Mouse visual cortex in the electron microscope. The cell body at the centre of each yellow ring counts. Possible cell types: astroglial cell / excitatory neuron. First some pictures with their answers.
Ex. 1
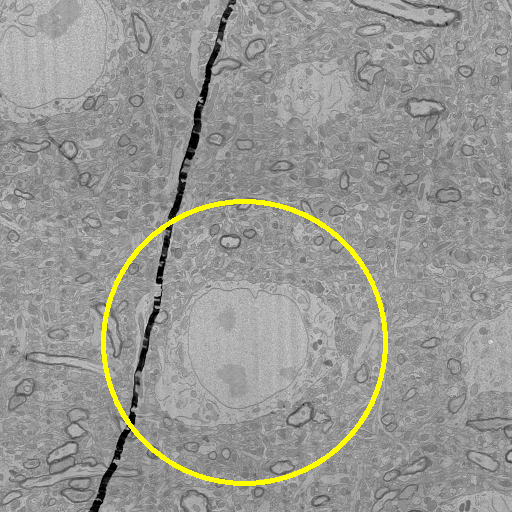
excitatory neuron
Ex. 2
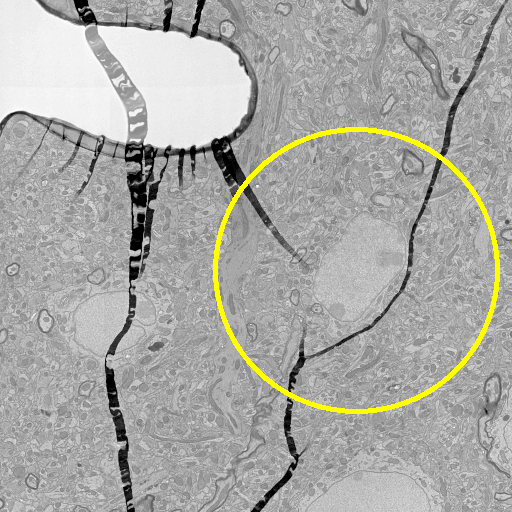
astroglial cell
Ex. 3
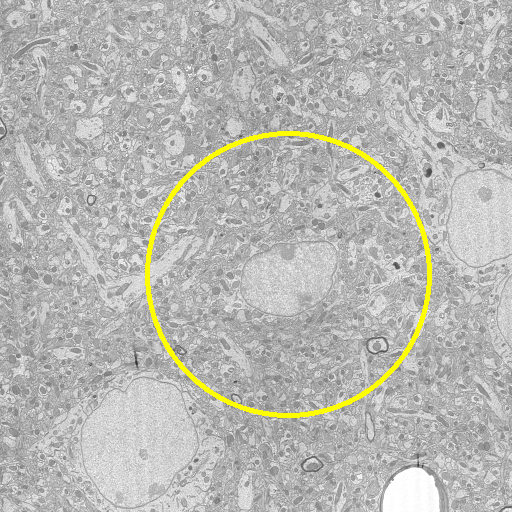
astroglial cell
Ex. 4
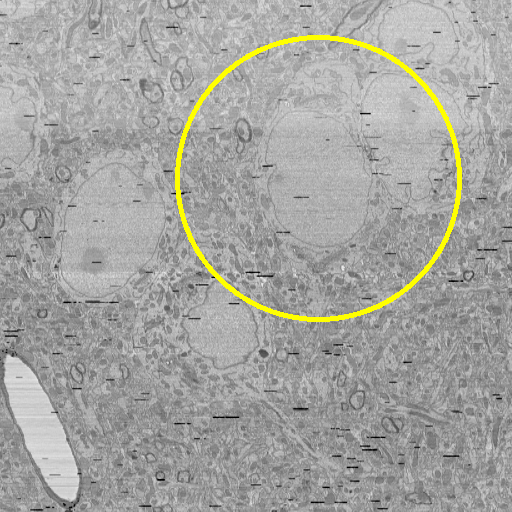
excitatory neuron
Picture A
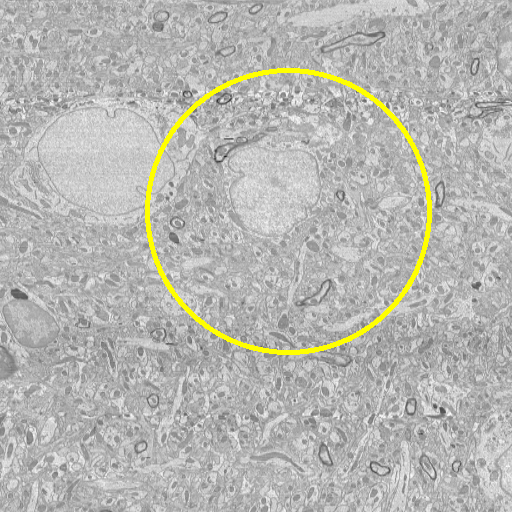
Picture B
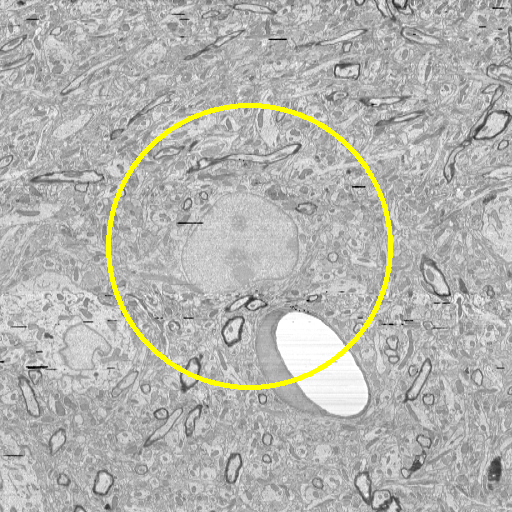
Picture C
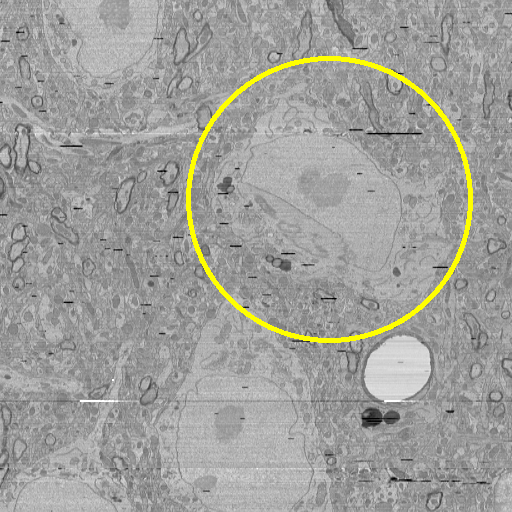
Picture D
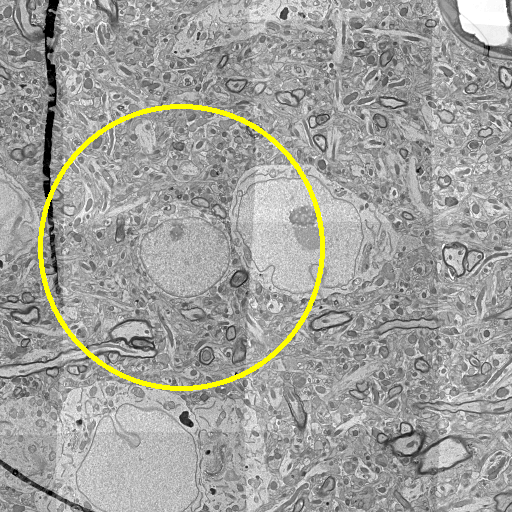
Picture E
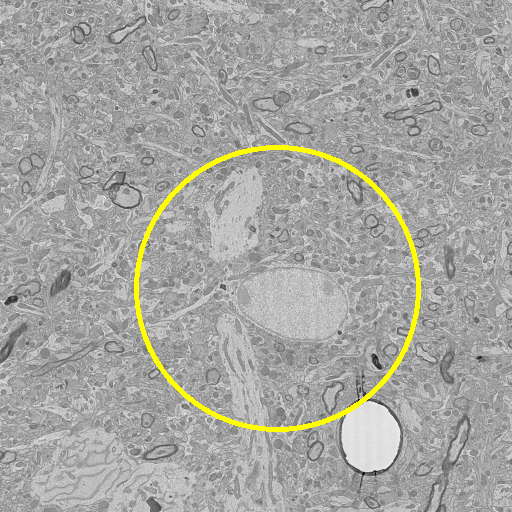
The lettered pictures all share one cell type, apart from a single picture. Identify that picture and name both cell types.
Exception: C, showing excitatory neuron. Remaining pictures: astroglial cell.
